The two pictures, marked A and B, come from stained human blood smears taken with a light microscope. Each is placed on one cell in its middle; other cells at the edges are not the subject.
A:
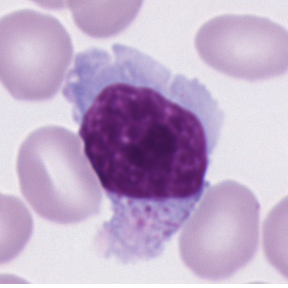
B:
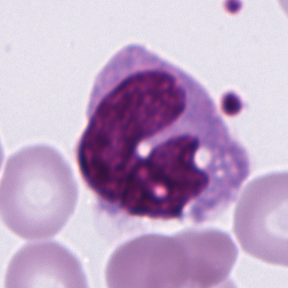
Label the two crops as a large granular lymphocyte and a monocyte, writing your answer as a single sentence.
The cell centred in crop A is a large granular lymphocyte, while the one centred in crop B is a monocyte.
